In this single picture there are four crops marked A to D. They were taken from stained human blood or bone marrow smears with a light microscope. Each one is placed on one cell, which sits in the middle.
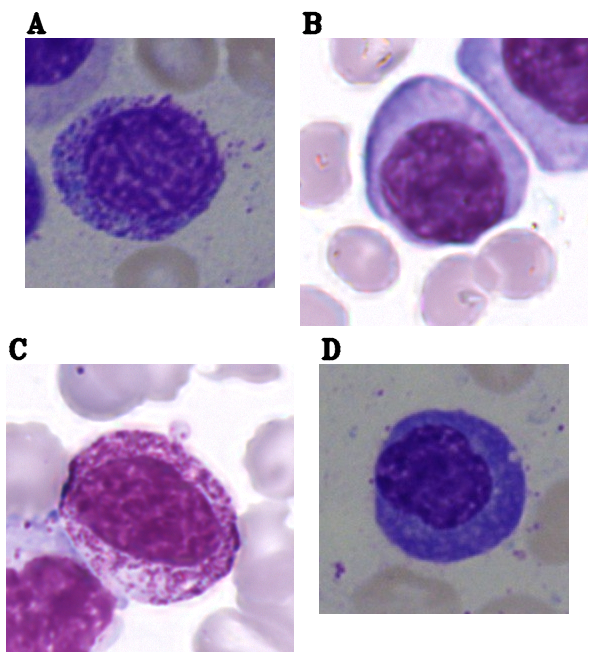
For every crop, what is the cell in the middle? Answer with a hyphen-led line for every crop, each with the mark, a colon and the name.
- A: myelocyte
- B: plasma cell
- C: myelocyte
- D: plasma cell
